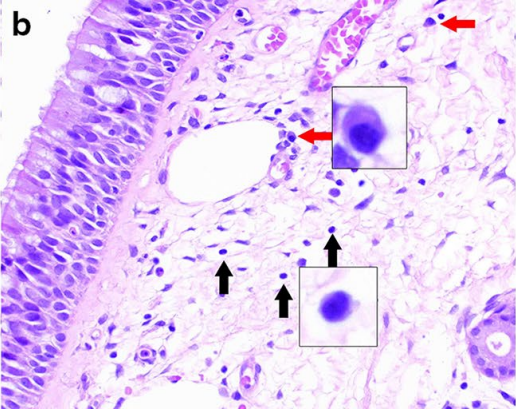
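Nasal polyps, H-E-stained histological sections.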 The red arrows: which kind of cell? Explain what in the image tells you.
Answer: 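Plasma cells. The inset shows an oval cell with a dark nucleus placed off to one side. Its cytoplasm is abundant and purplish. It is larger than the cells under the black arrows.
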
